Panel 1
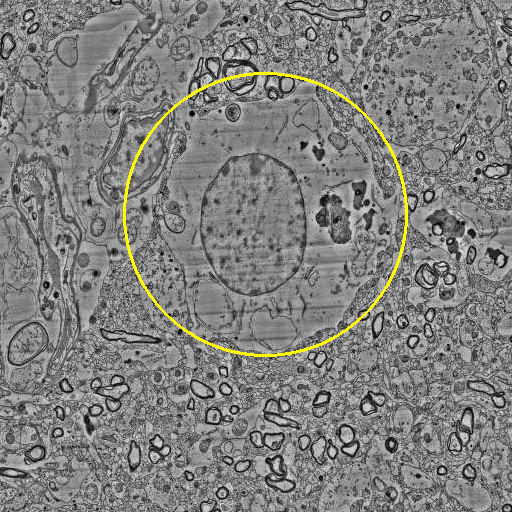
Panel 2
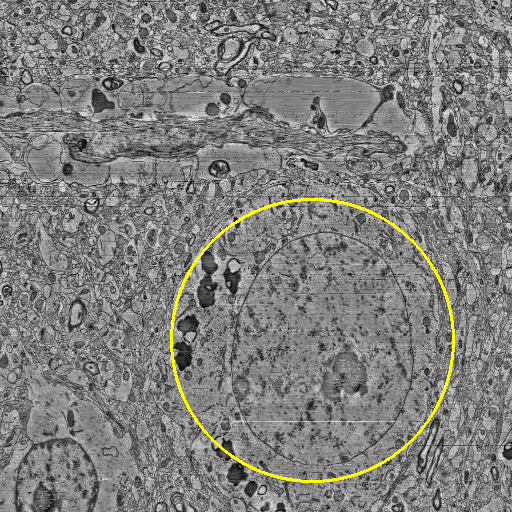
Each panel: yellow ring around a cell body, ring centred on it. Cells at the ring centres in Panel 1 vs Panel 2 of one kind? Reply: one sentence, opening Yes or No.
No, Panel 1 and Panel 2 have cells of two kinds at the ring centres.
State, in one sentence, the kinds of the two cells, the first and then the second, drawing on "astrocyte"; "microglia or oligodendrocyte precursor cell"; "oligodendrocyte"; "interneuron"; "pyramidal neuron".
The ring in the second picture is centred on a pyramidal neuron, the ring in the first on an astrocyte.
